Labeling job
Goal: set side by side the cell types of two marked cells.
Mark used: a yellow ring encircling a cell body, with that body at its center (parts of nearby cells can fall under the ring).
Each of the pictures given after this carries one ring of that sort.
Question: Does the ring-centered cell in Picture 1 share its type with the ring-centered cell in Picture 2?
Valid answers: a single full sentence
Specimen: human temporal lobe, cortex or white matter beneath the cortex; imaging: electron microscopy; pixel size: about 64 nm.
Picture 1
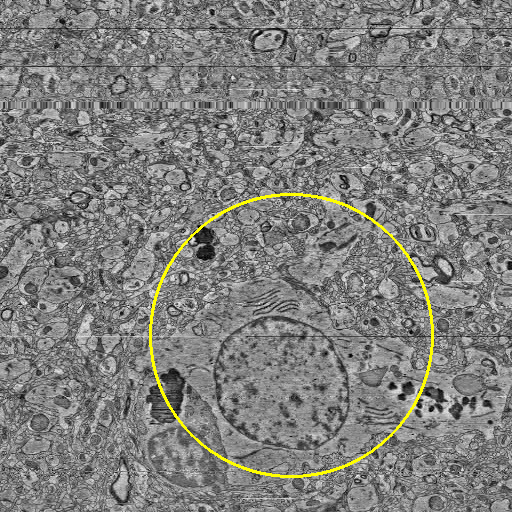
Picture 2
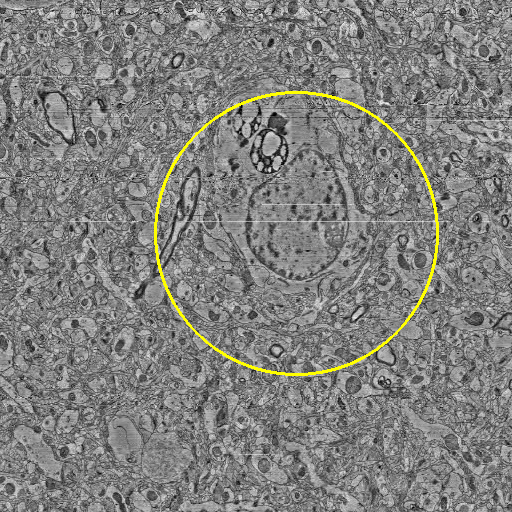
Yes, in Pictures 1 and 2 the cells at the ring centers share one type.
